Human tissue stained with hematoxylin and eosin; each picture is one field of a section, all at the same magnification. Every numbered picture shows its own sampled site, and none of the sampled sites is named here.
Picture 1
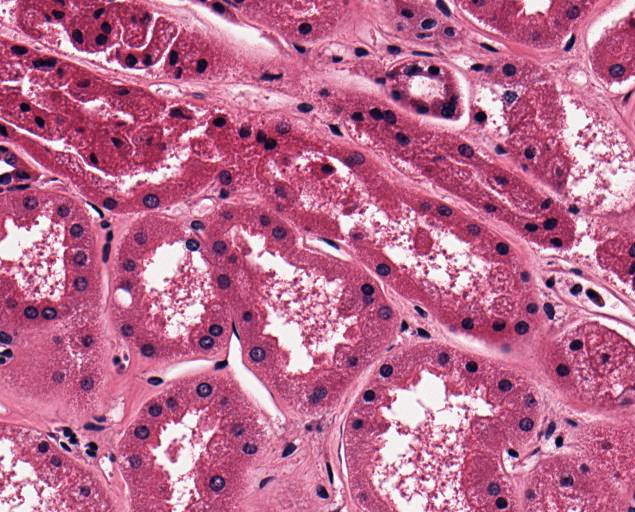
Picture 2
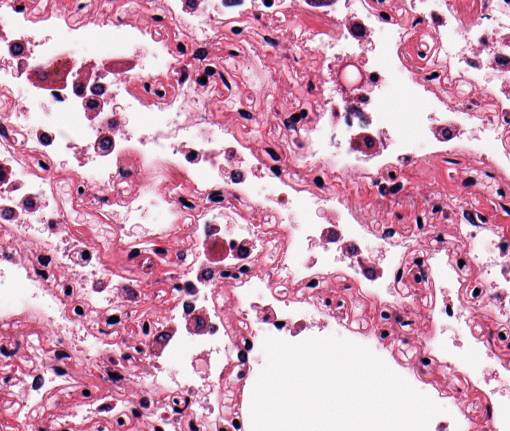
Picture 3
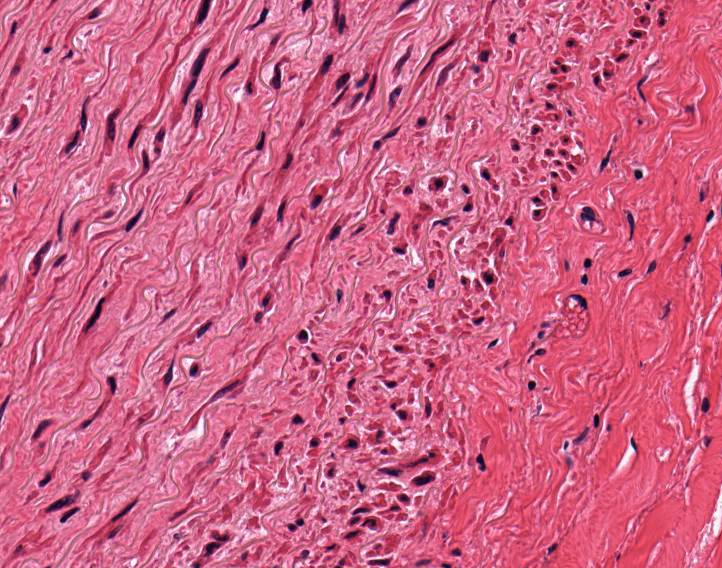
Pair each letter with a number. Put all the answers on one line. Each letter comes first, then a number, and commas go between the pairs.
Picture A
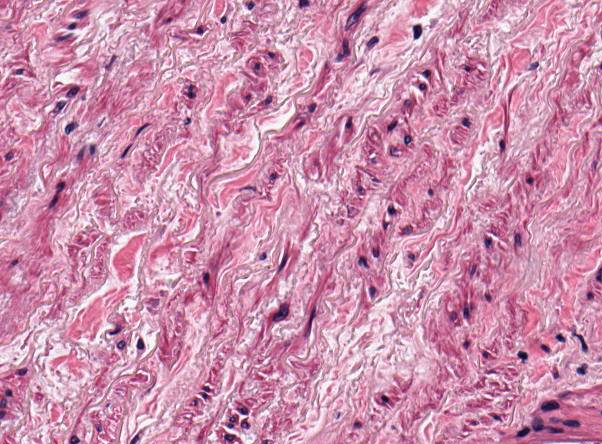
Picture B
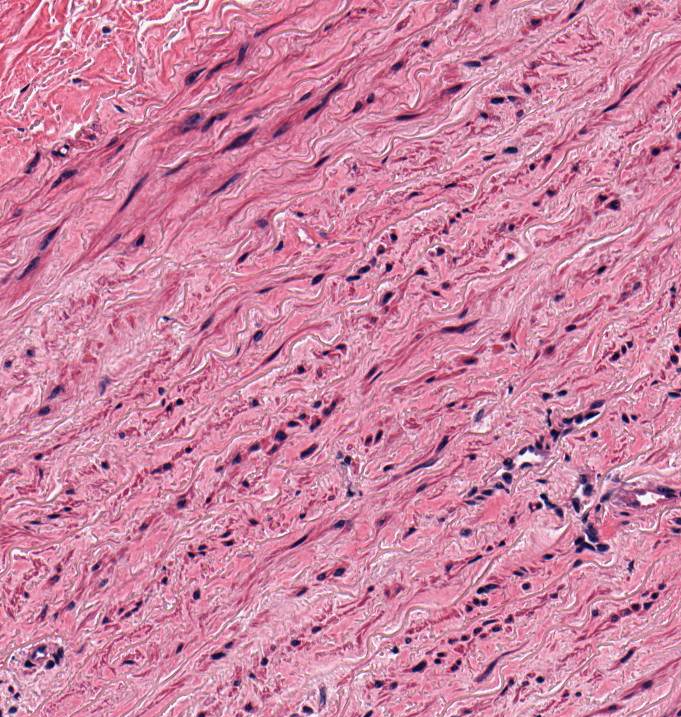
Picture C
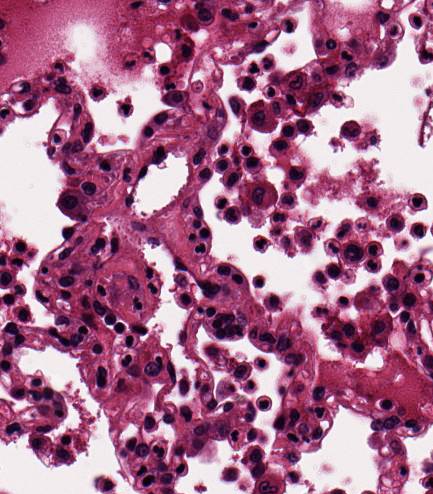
A 3, B 3, C 2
